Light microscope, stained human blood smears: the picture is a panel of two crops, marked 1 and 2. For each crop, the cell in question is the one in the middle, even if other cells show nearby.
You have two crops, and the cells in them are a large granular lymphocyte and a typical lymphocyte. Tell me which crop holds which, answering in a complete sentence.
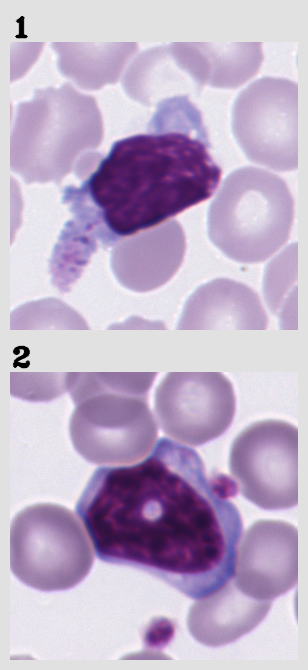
It is a large granular lymphocyte that crop 1 shows, and a typical lymphocyte that crop 2 shows.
